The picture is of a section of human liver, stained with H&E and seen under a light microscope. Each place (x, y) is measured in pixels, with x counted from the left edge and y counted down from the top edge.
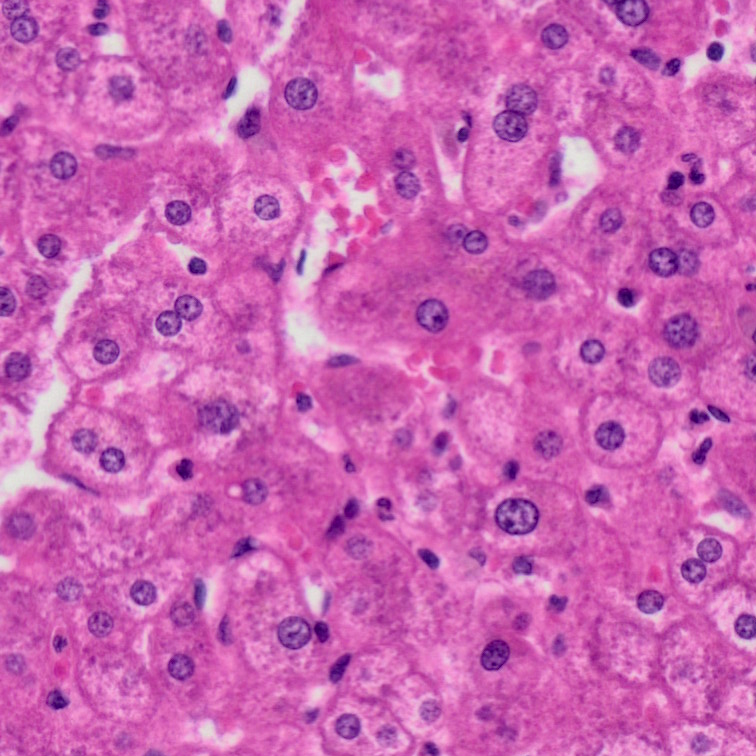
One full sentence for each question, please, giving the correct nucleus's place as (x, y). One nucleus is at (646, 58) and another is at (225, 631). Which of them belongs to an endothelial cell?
The nucleus situated at (225, 631) is the one belonging to an endothelial cell.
